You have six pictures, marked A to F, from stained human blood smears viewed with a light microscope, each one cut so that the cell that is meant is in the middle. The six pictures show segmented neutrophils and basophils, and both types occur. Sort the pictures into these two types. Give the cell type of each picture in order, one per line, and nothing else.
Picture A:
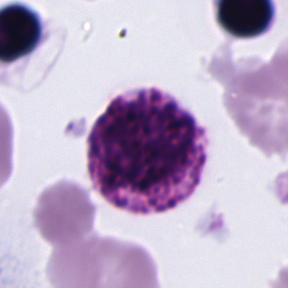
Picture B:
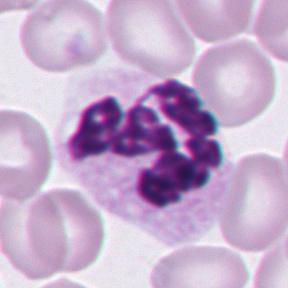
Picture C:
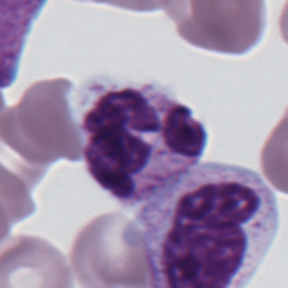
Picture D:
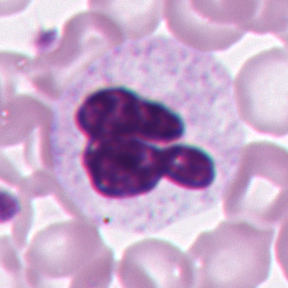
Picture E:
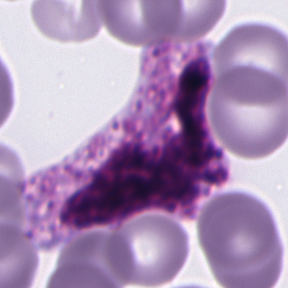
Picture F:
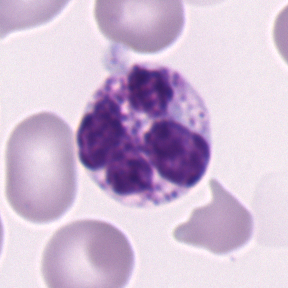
basophil
segmented neutrophil
segmented neutrophil
segmented neutrophil
basophil
basophil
